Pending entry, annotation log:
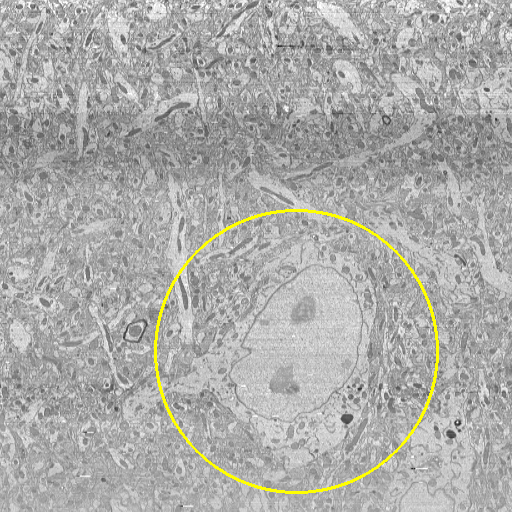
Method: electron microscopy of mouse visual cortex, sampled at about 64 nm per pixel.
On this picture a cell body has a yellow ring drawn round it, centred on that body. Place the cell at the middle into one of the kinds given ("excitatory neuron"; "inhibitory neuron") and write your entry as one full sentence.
The cell body at the middle of the yellow ring belongs to an excitatory neuron.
